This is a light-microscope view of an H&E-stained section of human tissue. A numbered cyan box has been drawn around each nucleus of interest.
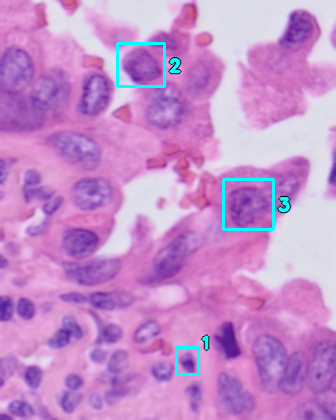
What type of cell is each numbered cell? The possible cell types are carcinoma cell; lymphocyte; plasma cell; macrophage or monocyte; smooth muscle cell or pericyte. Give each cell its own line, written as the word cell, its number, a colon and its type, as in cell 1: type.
cell 1: lymphocyte
cell 2: carcinoma cell
cell 3: carcinoma cell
